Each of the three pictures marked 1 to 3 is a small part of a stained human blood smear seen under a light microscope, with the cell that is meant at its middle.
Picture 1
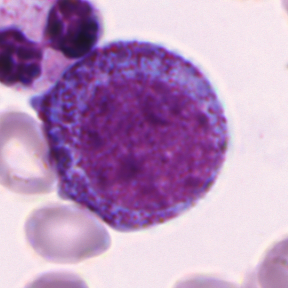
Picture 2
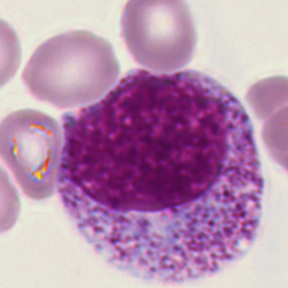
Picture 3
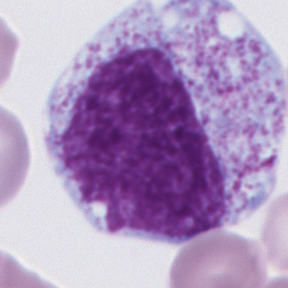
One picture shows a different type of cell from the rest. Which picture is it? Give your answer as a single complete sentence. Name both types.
The others show promyelocytes, but picture 3 shows a myelocyte.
